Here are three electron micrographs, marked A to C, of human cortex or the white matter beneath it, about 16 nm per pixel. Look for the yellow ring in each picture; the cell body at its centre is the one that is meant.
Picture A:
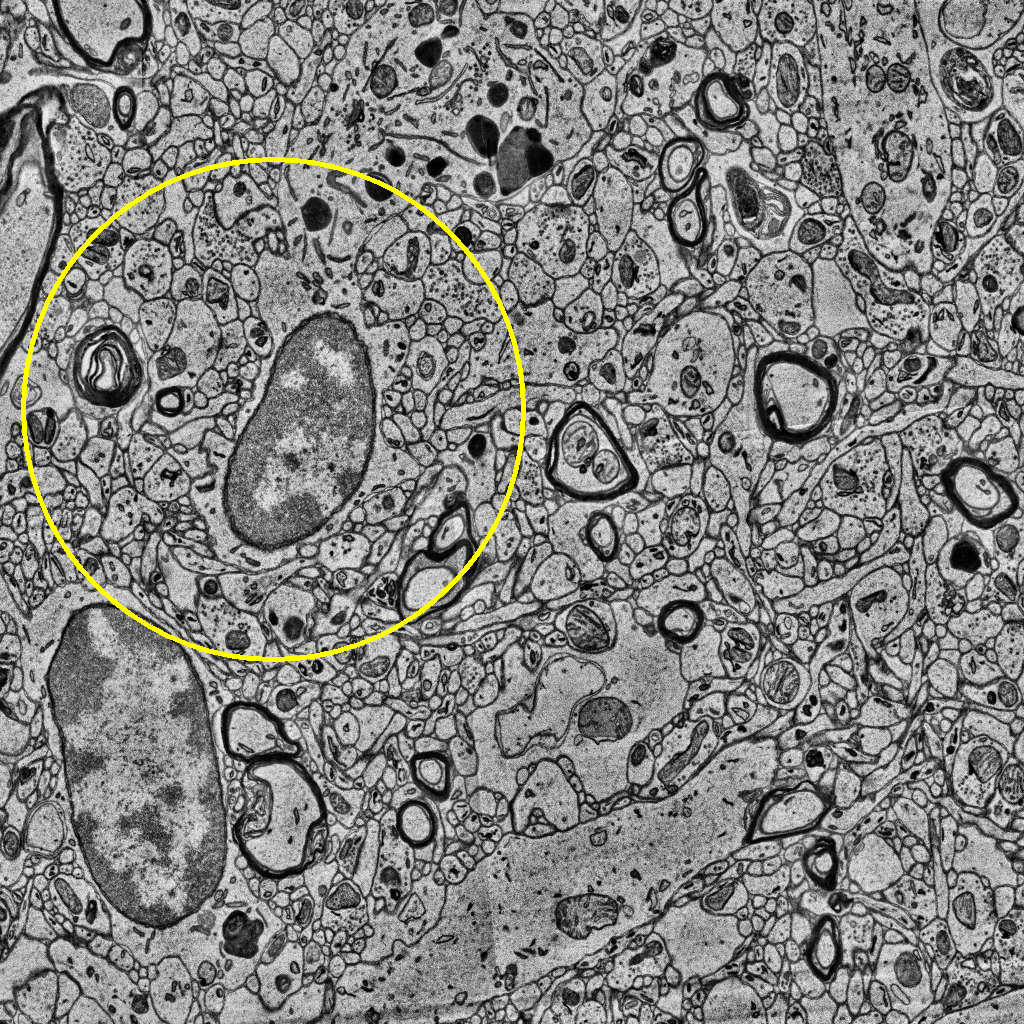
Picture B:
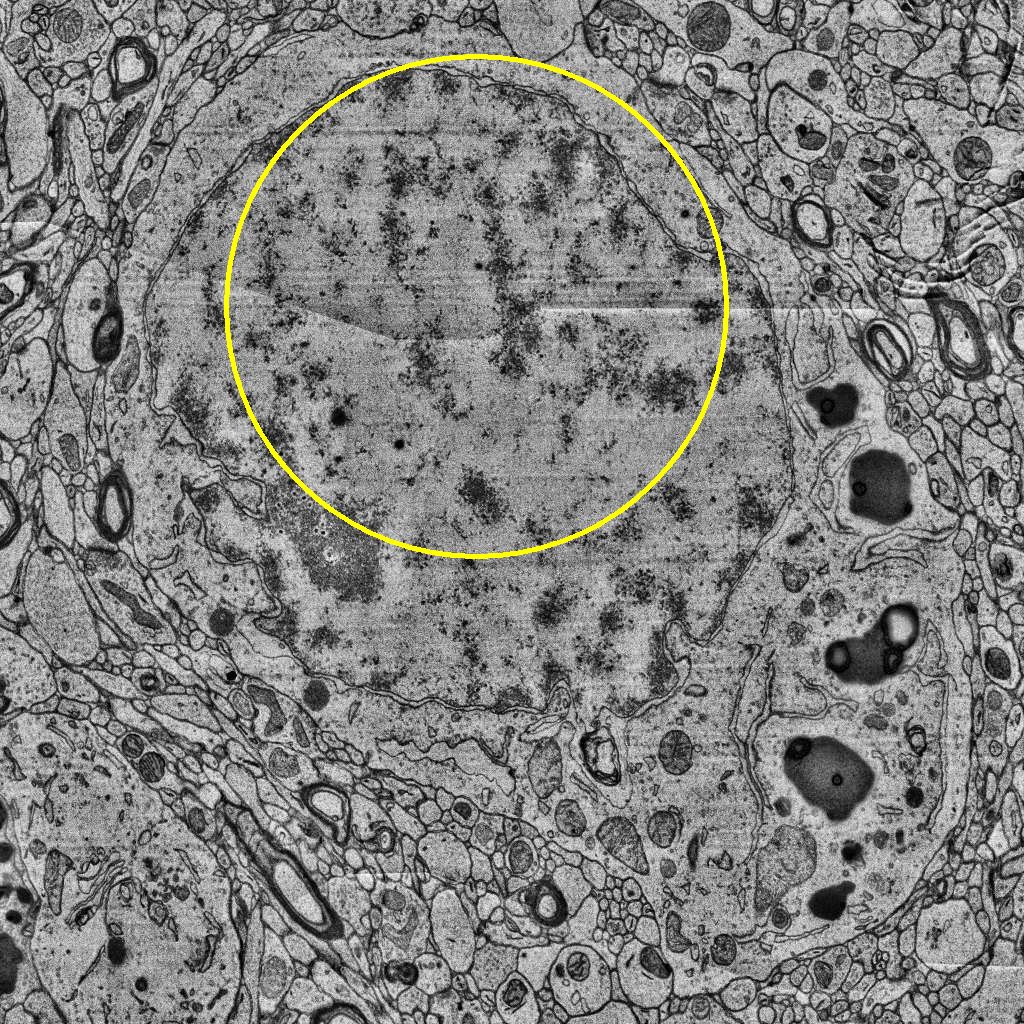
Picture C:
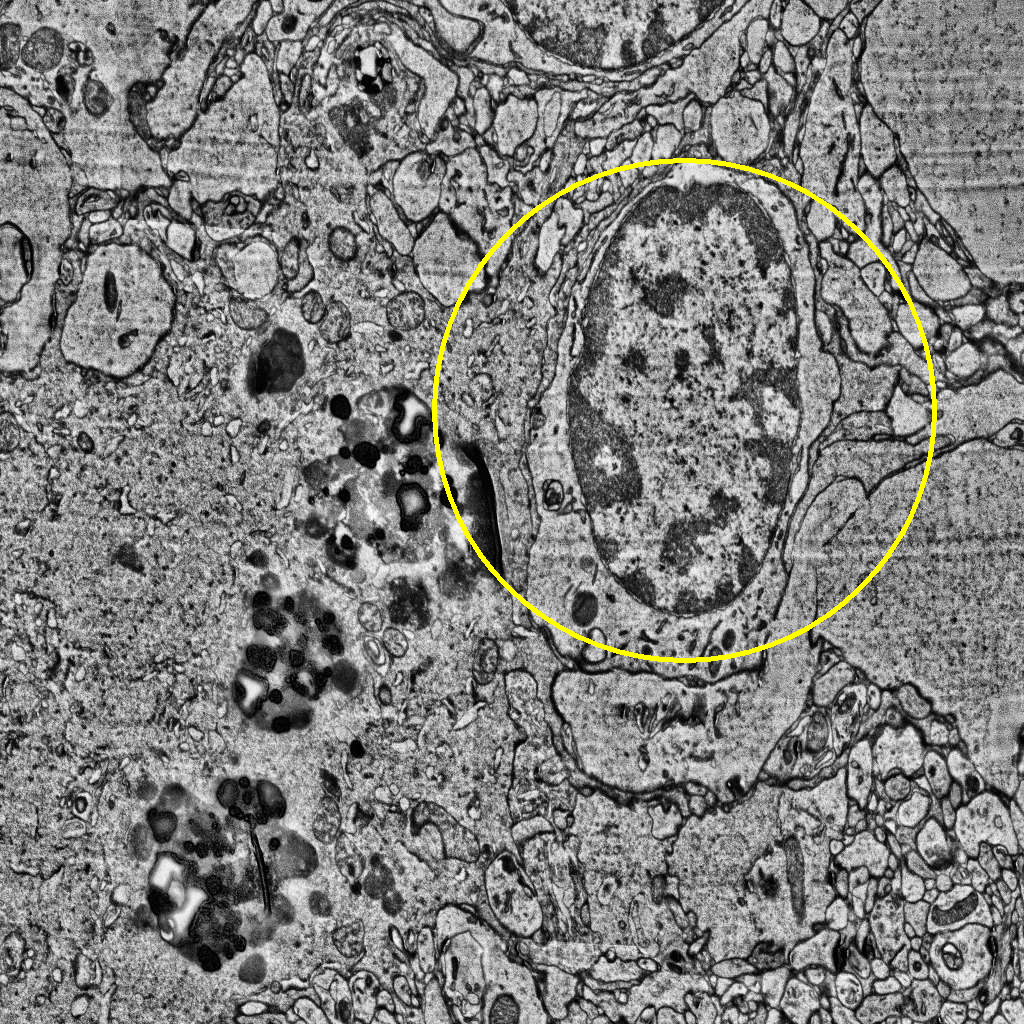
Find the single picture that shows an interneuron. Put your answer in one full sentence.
The cell in picture B is the interneuron.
